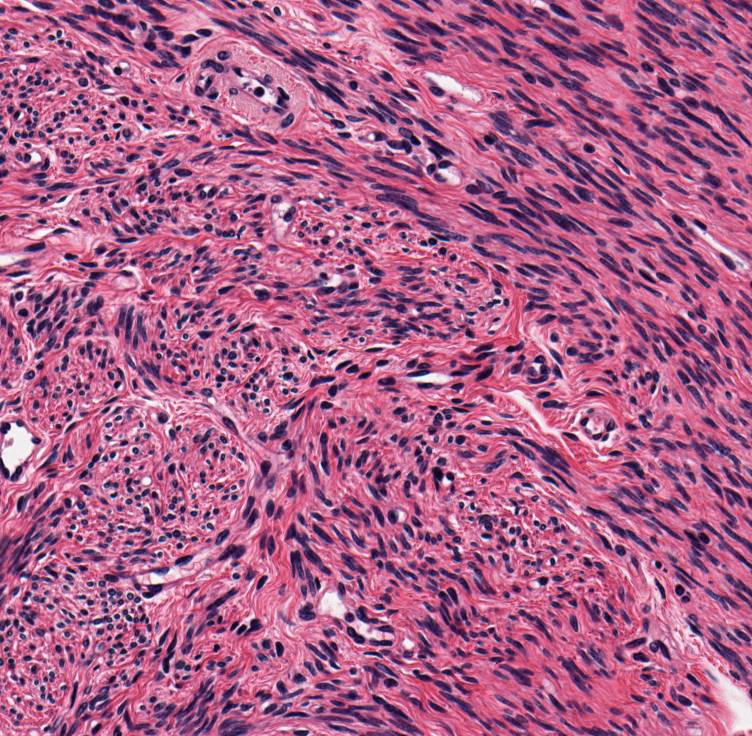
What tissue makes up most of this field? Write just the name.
smooth muscle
